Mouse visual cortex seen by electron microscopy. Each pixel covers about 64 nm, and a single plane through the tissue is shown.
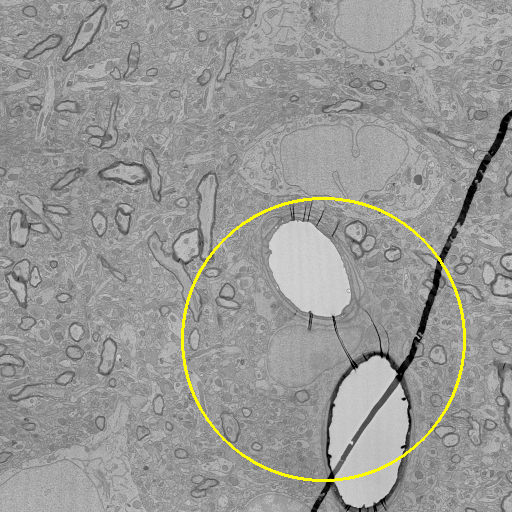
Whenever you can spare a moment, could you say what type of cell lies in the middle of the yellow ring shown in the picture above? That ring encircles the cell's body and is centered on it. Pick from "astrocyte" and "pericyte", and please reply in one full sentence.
The cell whose body sits at the middle of the yellow ring is an astrocyte.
